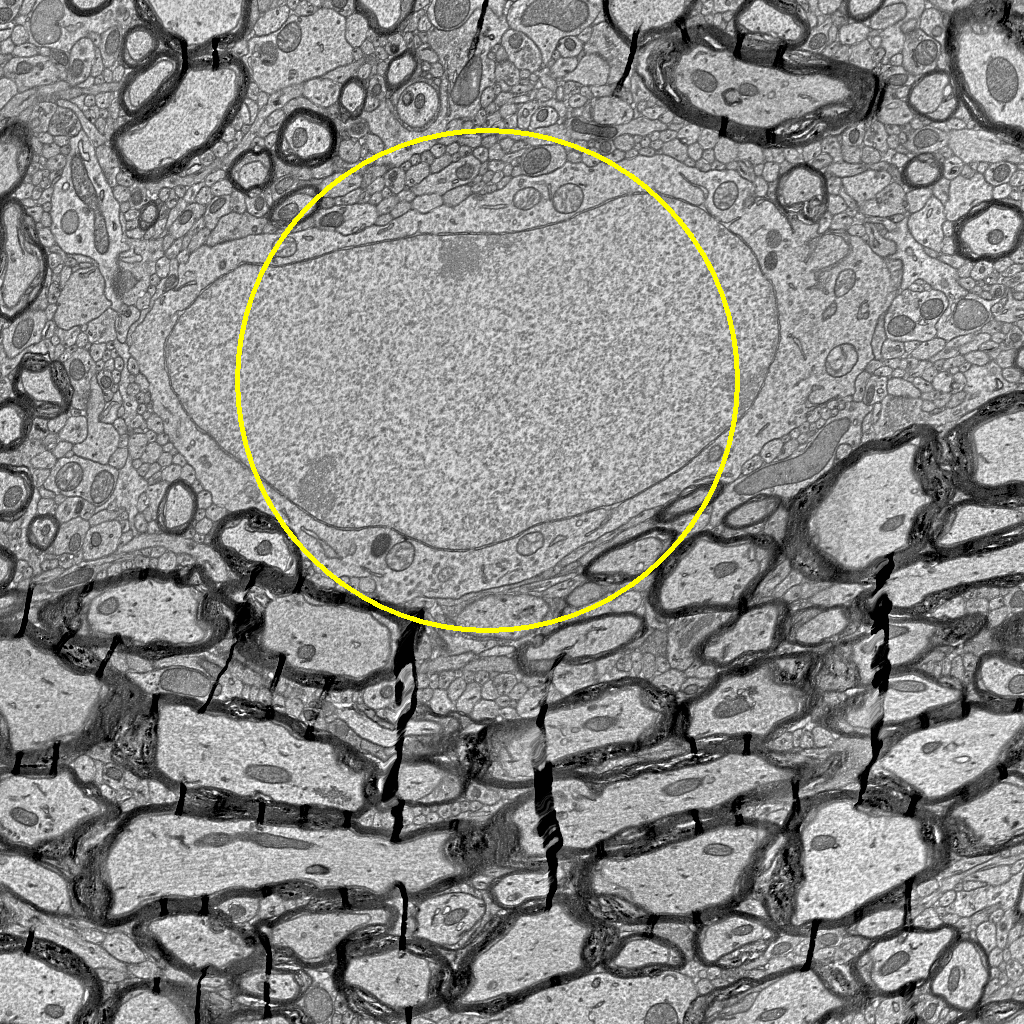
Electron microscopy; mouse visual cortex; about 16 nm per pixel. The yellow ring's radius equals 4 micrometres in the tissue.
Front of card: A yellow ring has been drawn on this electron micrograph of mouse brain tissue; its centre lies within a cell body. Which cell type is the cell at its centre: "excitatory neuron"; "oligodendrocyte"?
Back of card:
excitatory neuron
